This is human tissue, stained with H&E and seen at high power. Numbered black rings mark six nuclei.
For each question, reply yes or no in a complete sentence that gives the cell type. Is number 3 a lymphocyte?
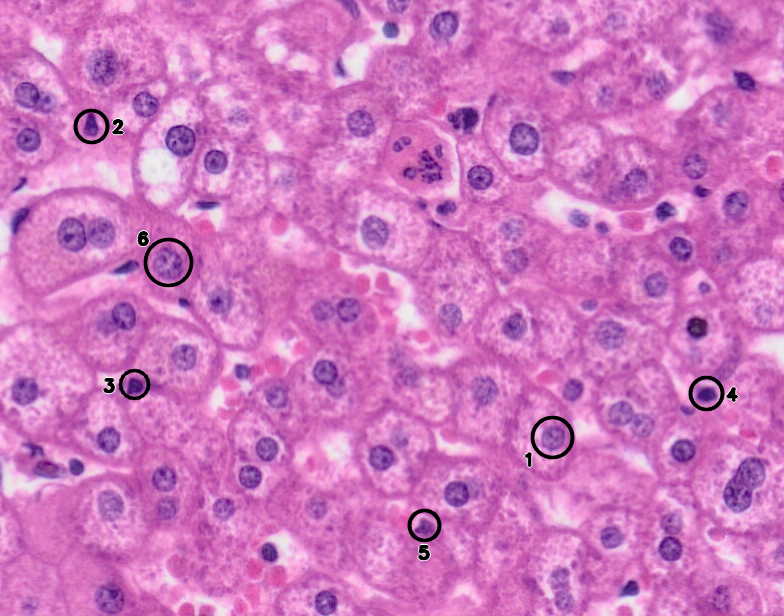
No, number 3 identifies a fibroblast or stellate cell, not a lymphocyte.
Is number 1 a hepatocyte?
Yes, the cell that is numbered 1 is a hepatocyte.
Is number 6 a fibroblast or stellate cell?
No, rather than a fibroblast or stellate cell, cell number 6 is a hepatocyte.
